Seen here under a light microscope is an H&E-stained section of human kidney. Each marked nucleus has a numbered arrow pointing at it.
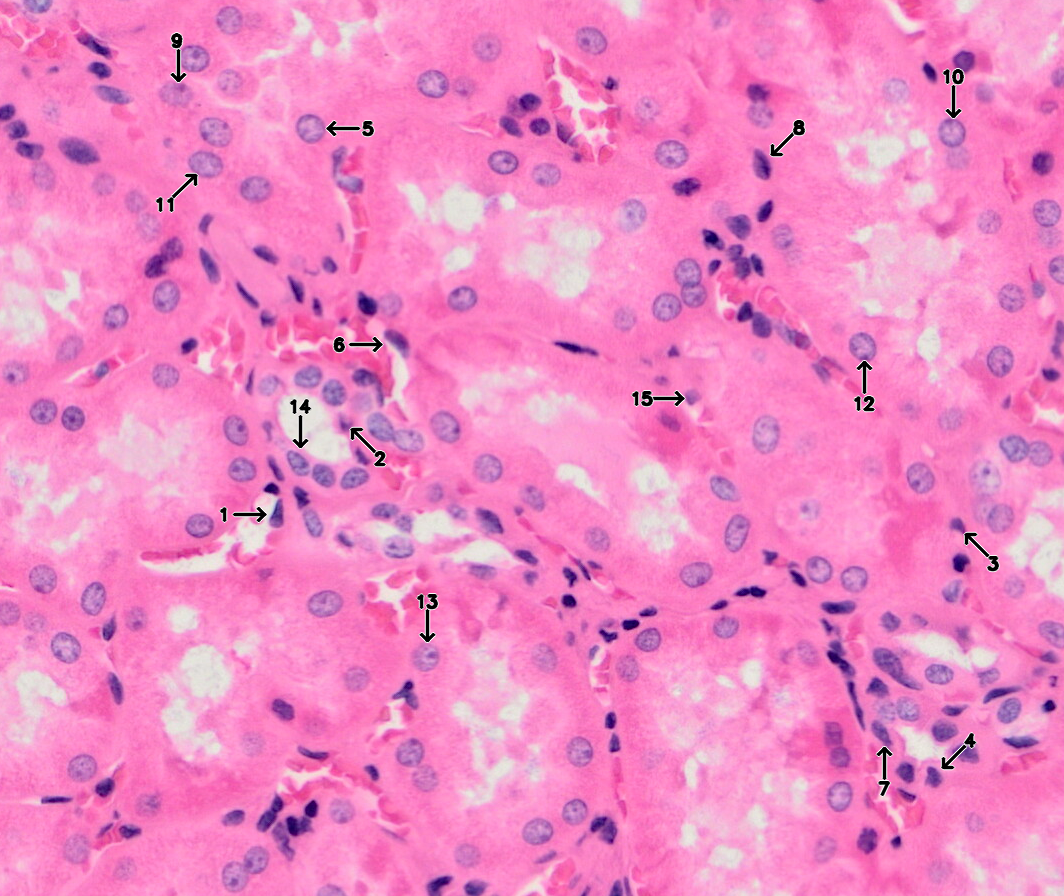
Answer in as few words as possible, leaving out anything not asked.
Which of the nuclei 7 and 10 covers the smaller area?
7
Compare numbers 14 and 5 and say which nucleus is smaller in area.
14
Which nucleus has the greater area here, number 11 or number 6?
11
